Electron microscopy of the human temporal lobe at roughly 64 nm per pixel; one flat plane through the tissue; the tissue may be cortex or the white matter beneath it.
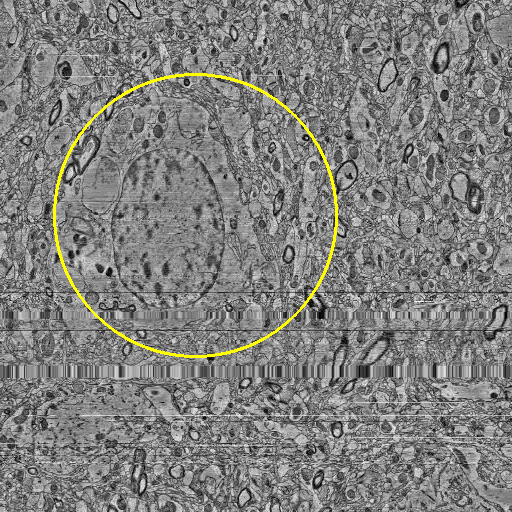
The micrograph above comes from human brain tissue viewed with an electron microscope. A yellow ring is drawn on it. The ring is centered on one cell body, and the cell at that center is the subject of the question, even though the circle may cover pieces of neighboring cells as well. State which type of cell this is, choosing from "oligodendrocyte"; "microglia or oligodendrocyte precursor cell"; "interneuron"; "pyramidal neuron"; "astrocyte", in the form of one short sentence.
The cell the ring is centered on is an astrocyte.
